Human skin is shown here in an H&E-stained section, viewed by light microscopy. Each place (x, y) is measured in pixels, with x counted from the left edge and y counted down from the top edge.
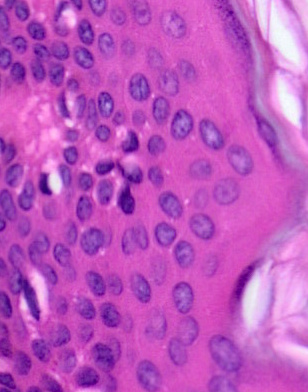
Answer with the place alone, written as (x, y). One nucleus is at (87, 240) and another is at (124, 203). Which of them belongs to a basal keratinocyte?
(124, 203)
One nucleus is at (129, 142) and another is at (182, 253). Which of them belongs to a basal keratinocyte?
(129, 142)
